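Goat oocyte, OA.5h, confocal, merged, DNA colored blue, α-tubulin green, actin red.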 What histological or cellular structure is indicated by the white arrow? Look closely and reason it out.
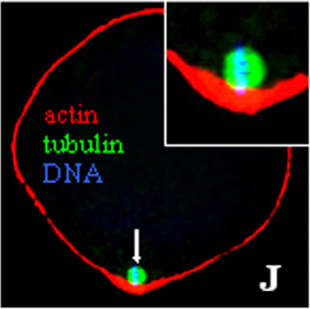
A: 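Spindles. A band of blue chromosomes crosses its middle.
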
